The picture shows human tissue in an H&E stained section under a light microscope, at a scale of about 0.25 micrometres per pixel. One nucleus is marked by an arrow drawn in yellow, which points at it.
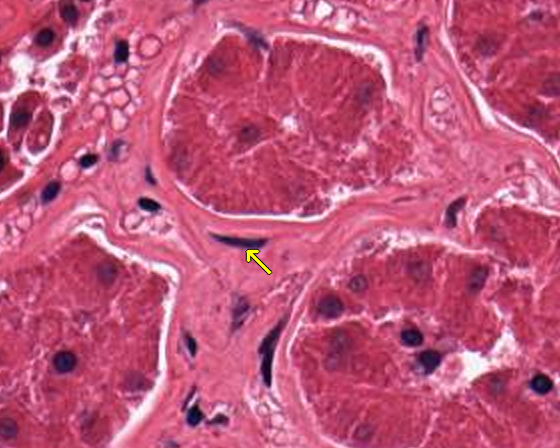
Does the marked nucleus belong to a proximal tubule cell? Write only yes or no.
no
